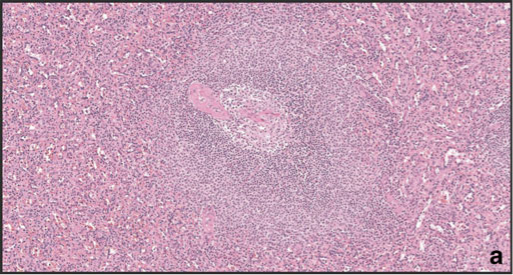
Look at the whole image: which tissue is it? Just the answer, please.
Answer: Spleen parenchyma.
